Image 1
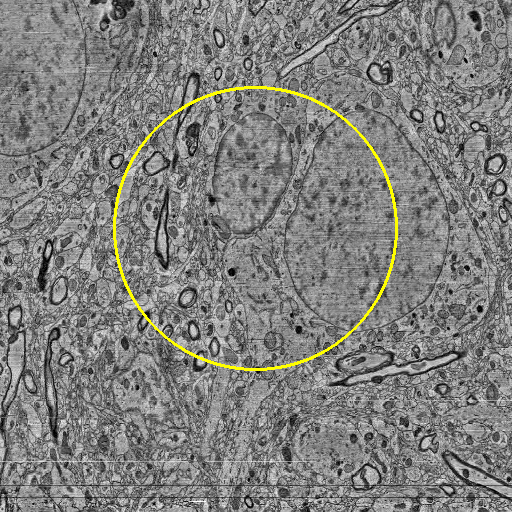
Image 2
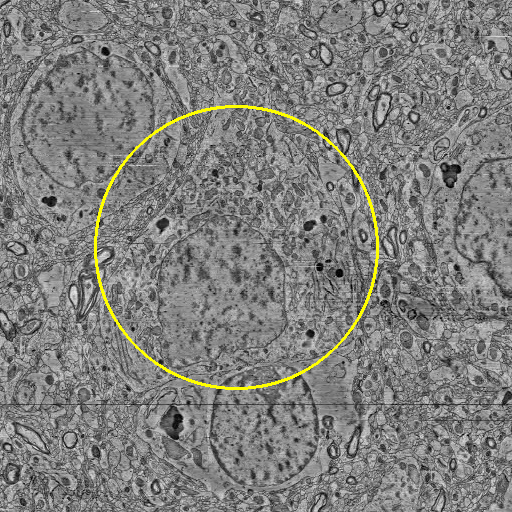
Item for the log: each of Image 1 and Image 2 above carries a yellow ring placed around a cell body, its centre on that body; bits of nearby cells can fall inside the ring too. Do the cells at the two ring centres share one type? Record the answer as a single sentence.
No, the two cells at the ring centres in Image 1 and Image 2 are of two types.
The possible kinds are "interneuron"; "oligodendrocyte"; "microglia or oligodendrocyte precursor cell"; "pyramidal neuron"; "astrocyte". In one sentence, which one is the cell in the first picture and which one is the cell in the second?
The cell ringed in the second picture is an interneuron, whereas the one ringed in the first is an oligodendrocyte.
